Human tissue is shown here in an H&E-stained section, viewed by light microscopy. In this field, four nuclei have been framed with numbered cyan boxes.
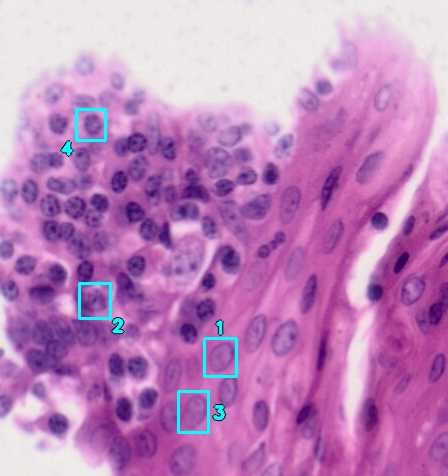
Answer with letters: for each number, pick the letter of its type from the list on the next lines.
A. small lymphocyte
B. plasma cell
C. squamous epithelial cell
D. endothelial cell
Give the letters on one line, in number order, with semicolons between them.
C; C; C; B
